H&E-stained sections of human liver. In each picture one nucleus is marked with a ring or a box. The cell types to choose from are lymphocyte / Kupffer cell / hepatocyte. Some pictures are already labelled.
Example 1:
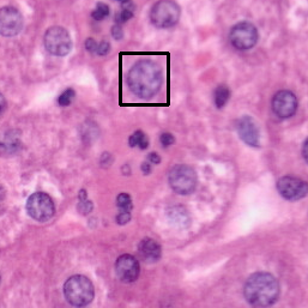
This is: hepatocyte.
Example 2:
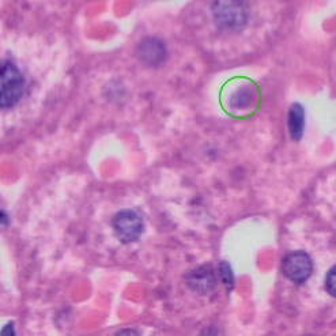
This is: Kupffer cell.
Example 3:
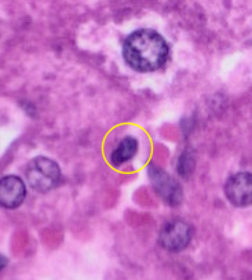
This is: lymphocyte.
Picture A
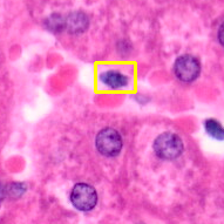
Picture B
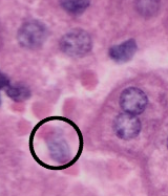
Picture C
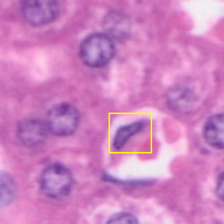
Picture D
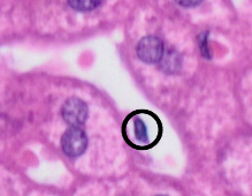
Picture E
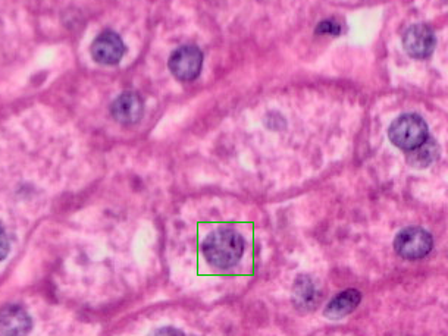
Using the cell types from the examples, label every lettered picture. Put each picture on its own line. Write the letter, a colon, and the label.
A: lymphocyte.
B: Kupffer cell.
C: Kupffer cell.
D: lymphocyte.
E: hepatocyte.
